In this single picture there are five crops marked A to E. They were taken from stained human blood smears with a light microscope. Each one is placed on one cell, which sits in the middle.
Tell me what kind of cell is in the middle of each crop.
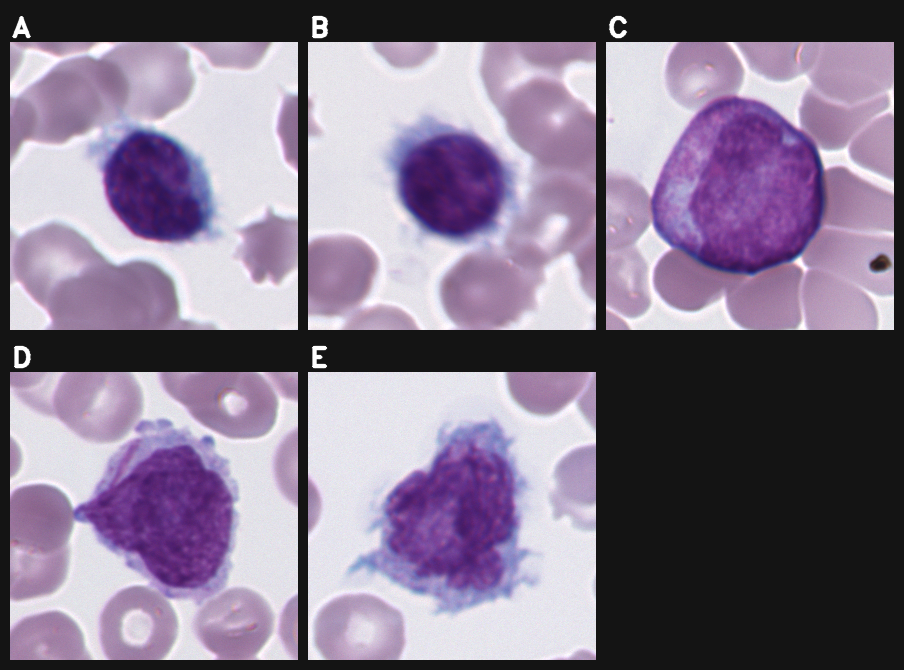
A: hairy cell
B: hairy cell
C: atypical promyelocyte
D: atypical promyelocyte
E: monocyte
